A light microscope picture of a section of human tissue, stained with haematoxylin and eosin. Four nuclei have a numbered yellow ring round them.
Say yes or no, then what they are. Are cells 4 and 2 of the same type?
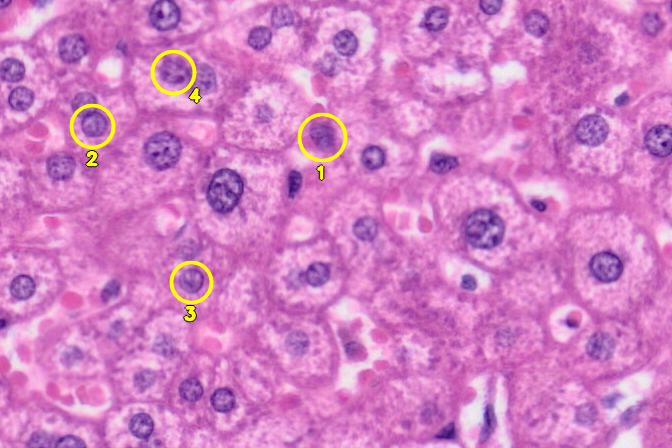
Yes, both are hepatocytes.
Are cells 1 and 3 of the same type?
No, cell 1 is an endothelial cell and cell 3 is a hepatocyte.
